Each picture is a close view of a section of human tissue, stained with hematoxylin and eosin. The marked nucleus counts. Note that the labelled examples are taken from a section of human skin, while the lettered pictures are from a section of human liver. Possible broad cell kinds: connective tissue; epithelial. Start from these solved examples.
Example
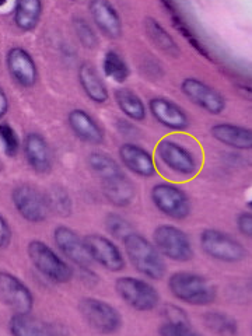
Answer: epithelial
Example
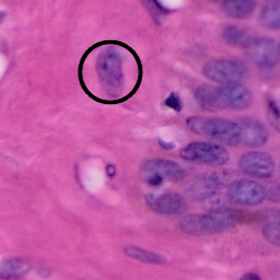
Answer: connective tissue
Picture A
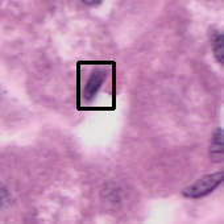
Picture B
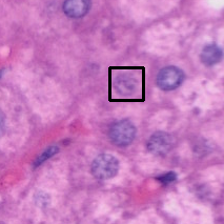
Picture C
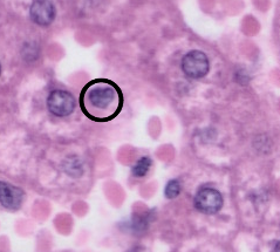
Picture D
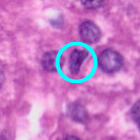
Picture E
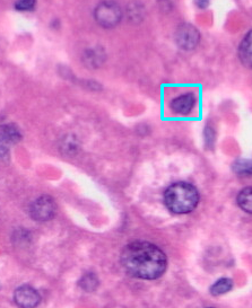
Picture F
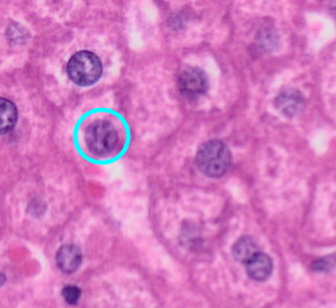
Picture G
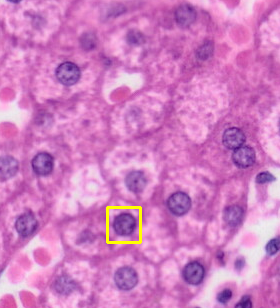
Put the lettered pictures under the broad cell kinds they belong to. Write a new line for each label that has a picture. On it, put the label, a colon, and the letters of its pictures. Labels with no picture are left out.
connective tissue: A, C, D, E
epithelial: B, F, G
